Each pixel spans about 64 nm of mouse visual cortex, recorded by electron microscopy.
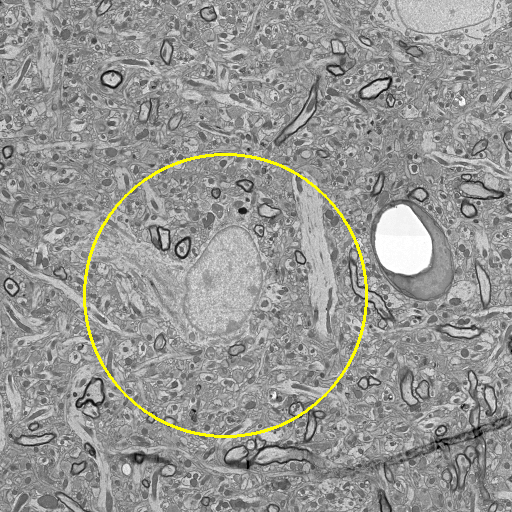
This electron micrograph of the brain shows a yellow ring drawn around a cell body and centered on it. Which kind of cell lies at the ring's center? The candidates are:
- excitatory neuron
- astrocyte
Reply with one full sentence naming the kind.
The cell lying at the ring's center in this micrograph is an astrocyte.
